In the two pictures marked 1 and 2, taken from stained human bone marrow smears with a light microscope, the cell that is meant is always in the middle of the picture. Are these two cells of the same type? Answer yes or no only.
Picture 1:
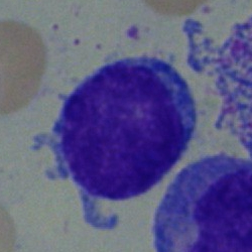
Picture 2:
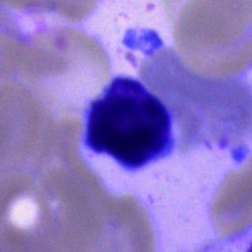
no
